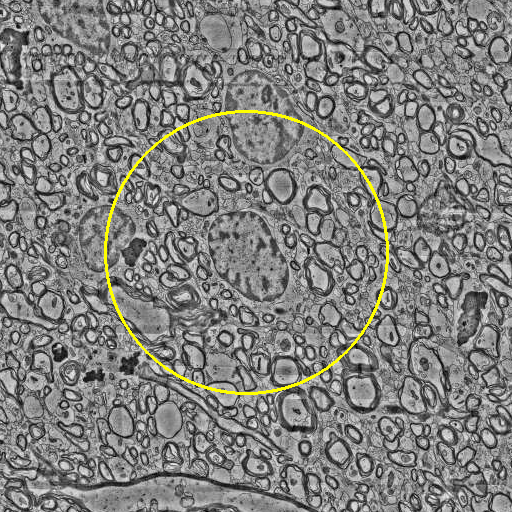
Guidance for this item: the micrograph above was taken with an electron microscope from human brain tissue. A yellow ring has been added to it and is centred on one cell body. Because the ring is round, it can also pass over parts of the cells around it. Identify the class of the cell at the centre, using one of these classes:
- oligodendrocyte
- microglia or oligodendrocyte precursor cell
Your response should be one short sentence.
The ring surrounds the body of a microglial cell or oligodendrocyte precursor cell.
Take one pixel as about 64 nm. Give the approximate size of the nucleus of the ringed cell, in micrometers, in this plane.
In this plane the nucleus spans approximately 6 by 4 micrometers.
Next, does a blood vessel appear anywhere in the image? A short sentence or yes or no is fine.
No, none is visible.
